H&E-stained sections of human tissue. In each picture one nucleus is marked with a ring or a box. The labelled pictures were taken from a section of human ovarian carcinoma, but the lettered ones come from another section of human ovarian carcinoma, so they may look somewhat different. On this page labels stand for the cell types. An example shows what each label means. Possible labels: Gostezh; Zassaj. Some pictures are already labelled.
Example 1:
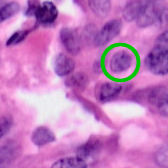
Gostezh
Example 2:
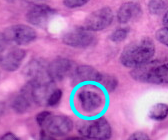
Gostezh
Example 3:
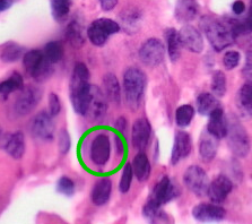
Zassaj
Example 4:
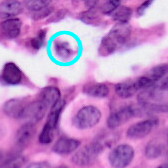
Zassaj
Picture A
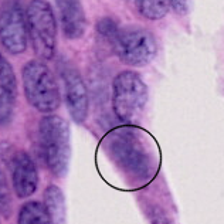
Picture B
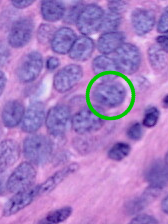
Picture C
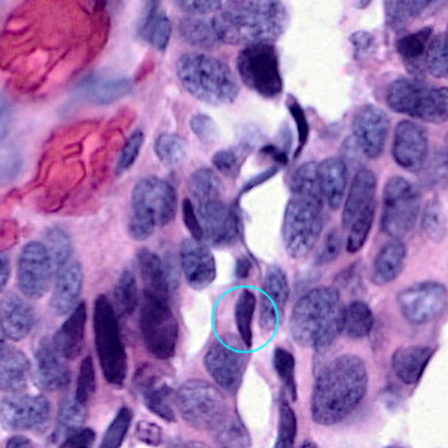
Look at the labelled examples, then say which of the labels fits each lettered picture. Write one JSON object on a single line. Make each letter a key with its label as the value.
{"A": "Zassaj", "B": "Zassaj", "C": "Zassaj"}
